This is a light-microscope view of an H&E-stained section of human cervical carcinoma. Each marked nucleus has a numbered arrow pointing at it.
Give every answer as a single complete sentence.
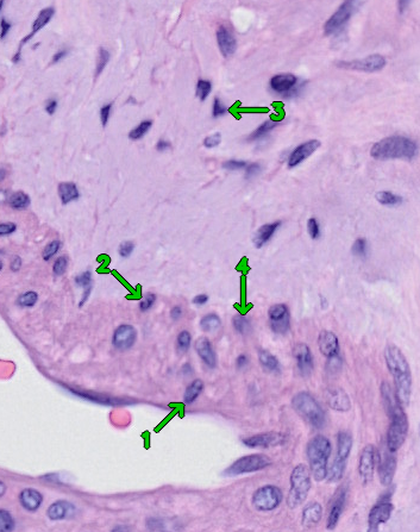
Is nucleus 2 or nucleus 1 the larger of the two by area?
The larger nucleus is 1, at roughly 1.5 times the area of 2.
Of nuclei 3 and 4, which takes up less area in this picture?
The smaller nucleus is 3, and 4 covers roughly 1.5 times its area.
